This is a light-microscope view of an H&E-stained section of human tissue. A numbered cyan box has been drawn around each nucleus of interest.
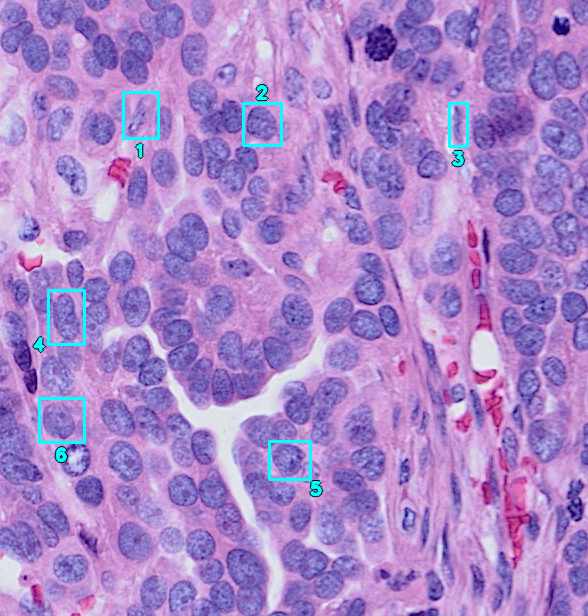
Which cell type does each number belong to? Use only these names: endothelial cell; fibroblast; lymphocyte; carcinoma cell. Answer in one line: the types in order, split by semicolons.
fibroblast; carcinoma cell; fibroblast; carcinoma cell; carcinoma cell; carcinoma cell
